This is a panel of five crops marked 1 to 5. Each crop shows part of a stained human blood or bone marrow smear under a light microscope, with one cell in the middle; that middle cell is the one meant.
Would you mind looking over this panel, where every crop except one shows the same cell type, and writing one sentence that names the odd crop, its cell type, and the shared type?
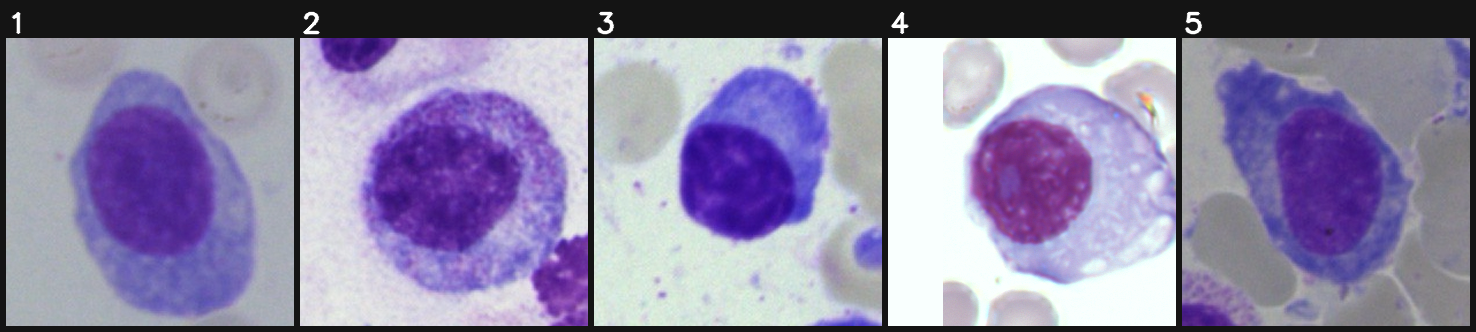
In every crop except crop 2, which shows a myelocyte, plasma cells are shown.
